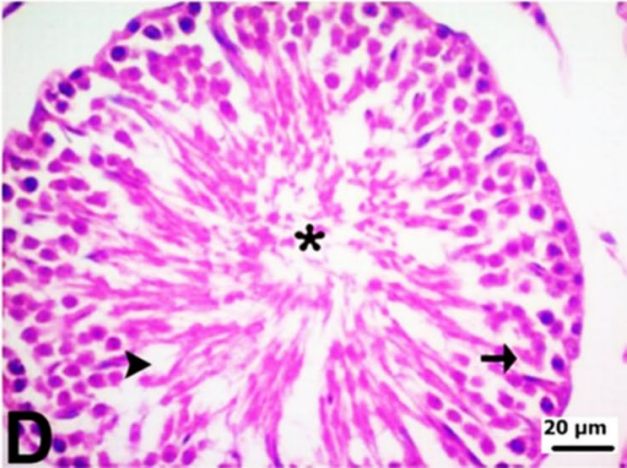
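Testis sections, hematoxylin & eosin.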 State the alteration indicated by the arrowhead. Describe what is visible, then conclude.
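The arrowhead lies by a pale unstained gap among the radiating bundles of elongated cells. The answer: vacuolization.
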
